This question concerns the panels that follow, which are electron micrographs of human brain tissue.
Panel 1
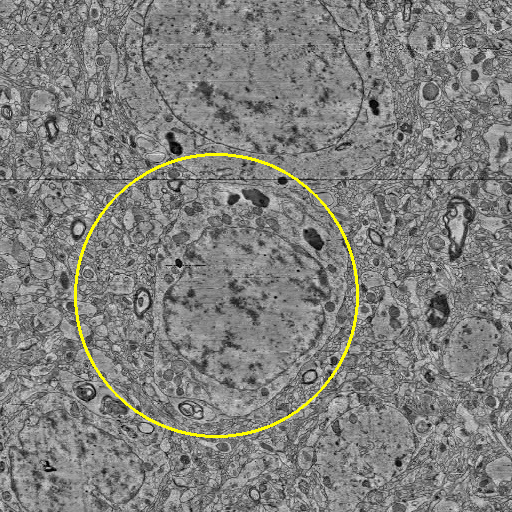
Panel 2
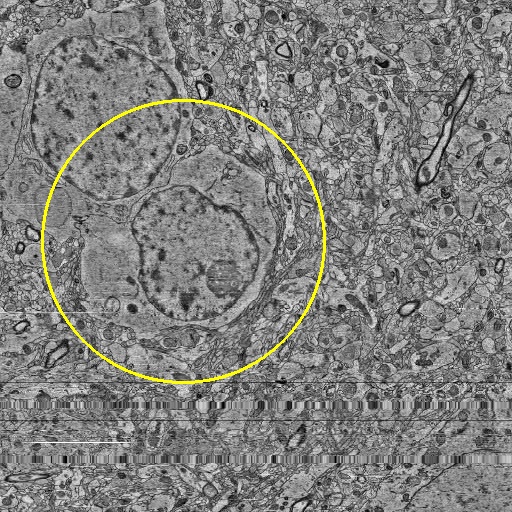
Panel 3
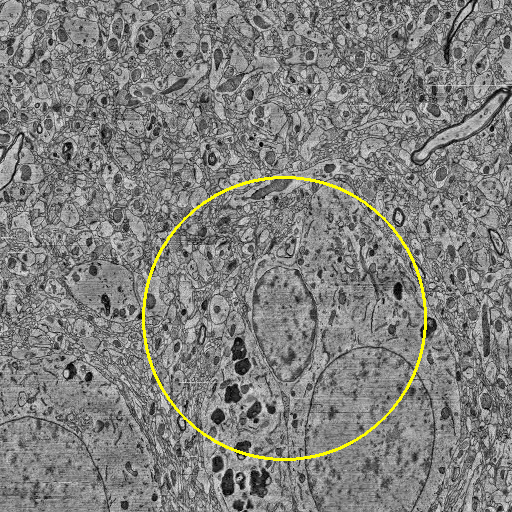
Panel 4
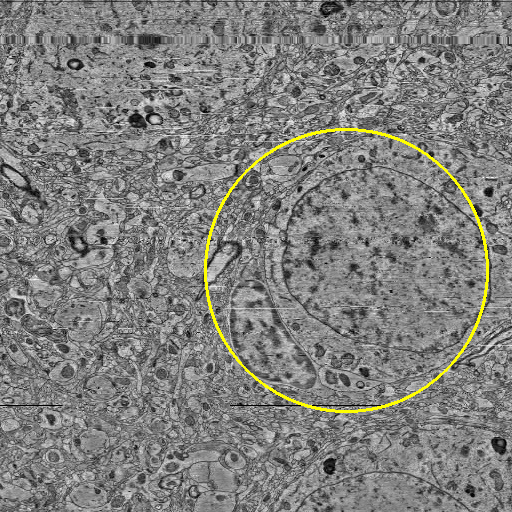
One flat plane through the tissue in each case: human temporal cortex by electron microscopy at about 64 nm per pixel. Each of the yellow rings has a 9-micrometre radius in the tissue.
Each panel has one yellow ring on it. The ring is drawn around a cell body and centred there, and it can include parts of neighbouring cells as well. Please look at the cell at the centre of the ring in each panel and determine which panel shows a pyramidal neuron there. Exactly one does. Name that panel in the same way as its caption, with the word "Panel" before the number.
Panel 4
